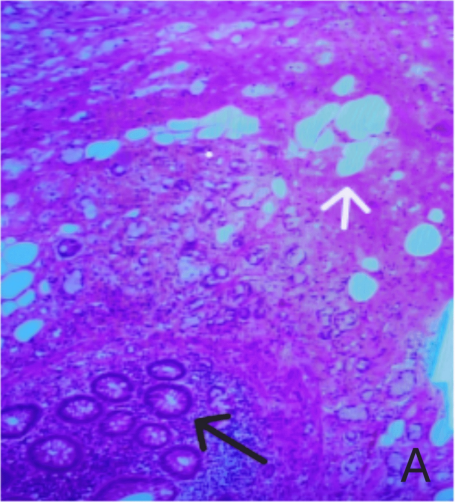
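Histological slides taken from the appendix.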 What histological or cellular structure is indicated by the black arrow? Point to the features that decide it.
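Glands. Round tubular profiles cut in cross-section, each with a central lumen. Each profile is lined by a ring of columnar epithelium. The profiles sit in a densely cellular, dark-blue stroma.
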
